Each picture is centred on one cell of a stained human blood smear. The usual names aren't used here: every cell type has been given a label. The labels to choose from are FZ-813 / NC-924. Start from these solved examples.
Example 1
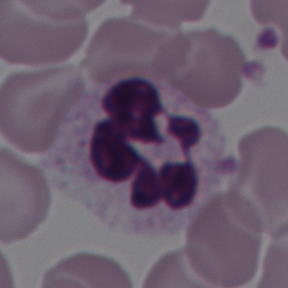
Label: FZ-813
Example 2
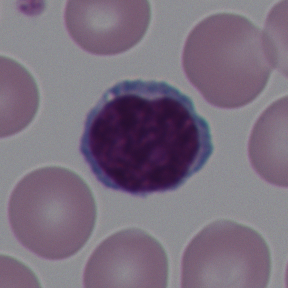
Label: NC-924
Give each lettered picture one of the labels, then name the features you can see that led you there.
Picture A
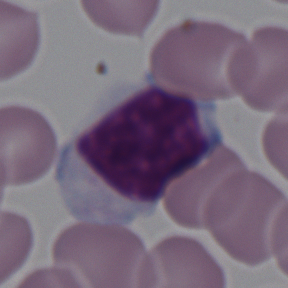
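Answer: NC-924. The nucleus fills most of the cell and sits toward its upper right.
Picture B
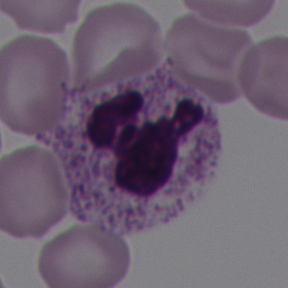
Answer: FZ-813. Numerous purple granules are scattered throughout the cytoplasm.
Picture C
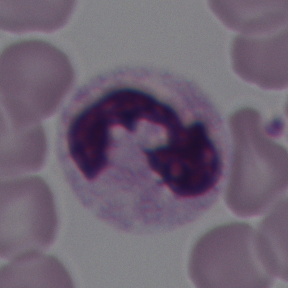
Answer: FZ-813. The nucleus is a single curved band shaped like a horseshoe that opens toward the bottom.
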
